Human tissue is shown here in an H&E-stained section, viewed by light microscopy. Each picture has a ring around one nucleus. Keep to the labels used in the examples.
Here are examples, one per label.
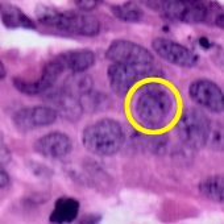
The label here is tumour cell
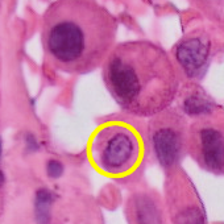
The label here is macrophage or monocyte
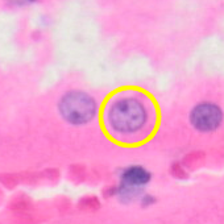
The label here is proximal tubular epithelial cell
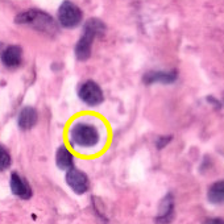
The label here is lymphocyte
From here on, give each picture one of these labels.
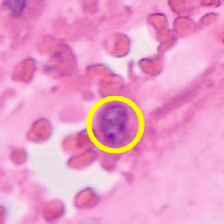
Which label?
macrophage or monocyte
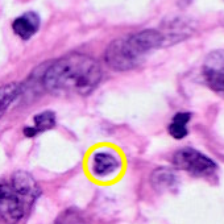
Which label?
lymphocyte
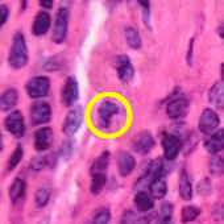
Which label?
lymphocyte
